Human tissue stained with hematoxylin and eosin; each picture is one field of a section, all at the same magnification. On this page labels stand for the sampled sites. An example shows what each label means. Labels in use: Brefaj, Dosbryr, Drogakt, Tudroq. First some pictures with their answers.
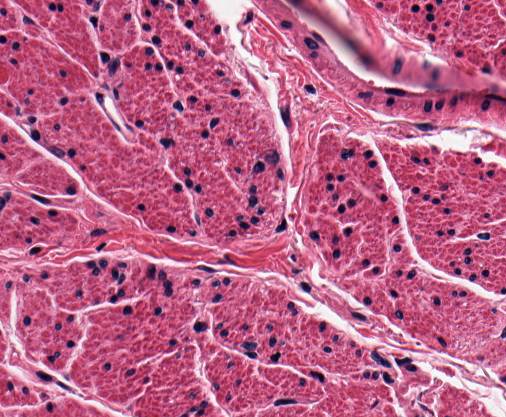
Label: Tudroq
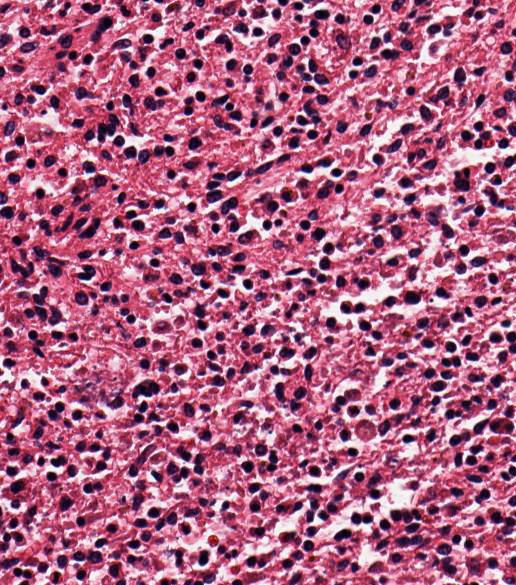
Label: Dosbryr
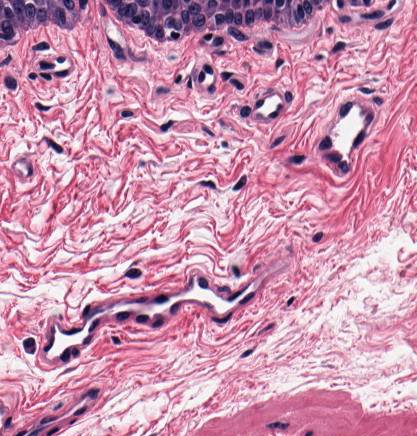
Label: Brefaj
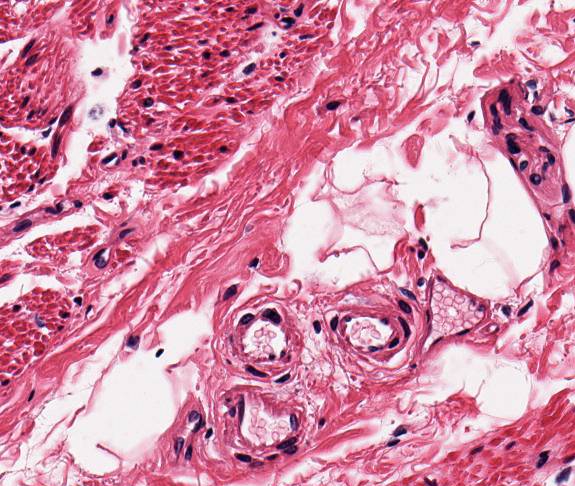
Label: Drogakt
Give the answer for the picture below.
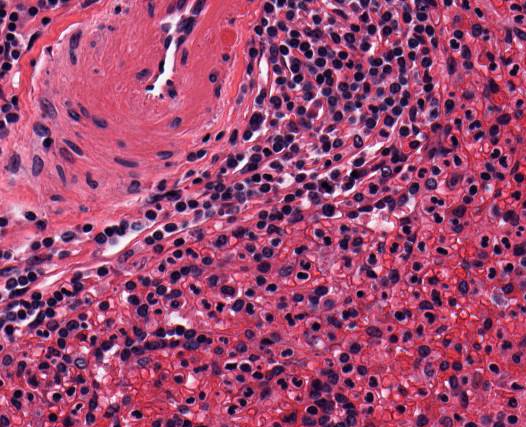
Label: Dosbryr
